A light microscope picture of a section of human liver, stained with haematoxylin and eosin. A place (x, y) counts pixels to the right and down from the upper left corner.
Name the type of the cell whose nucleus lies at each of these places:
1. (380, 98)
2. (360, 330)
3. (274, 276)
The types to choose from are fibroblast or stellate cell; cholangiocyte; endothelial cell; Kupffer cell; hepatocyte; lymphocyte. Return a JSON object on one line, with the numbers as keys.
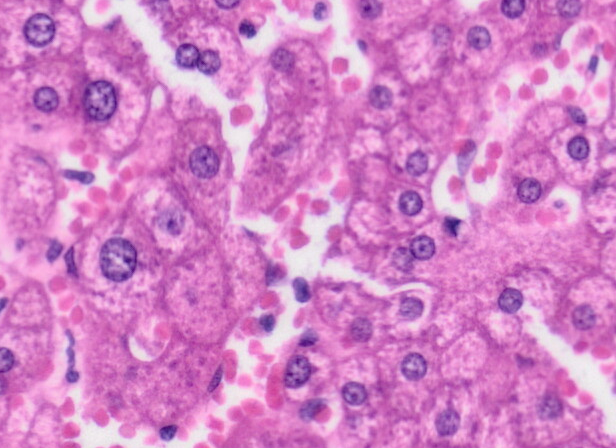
{"1": "hepatocyte", "2": "hepatocyte", "3": "endothelial cell"}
